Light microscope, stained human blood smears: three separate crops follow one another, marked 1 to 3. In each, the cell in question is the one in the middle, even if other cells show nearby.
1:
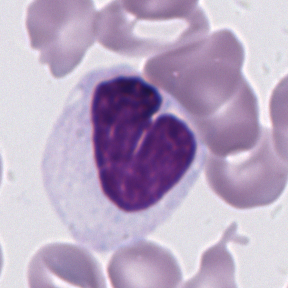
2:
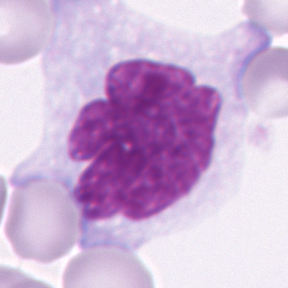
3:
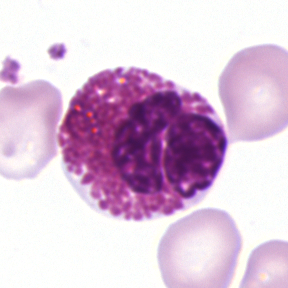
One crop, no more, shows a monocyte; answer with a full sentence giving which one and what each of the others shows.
Placed in the middle of crop 2 is a monocyte, while crop 1 is a band neutrophil and crop 3 is an eosinophil.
